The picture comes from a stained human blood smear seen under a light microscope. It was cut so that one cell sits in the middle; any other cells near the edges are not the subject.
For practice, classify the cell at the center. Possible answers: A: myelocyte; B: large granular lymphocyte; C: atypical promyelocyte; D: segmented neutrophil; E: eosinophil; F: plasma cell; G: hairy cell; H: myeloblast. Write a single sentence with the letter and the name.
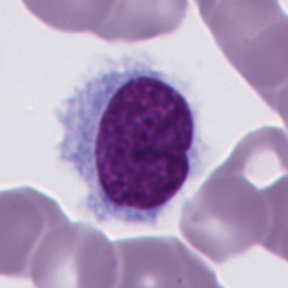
The one cell at the centre is a hairy cell, as correctly stated in option G.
